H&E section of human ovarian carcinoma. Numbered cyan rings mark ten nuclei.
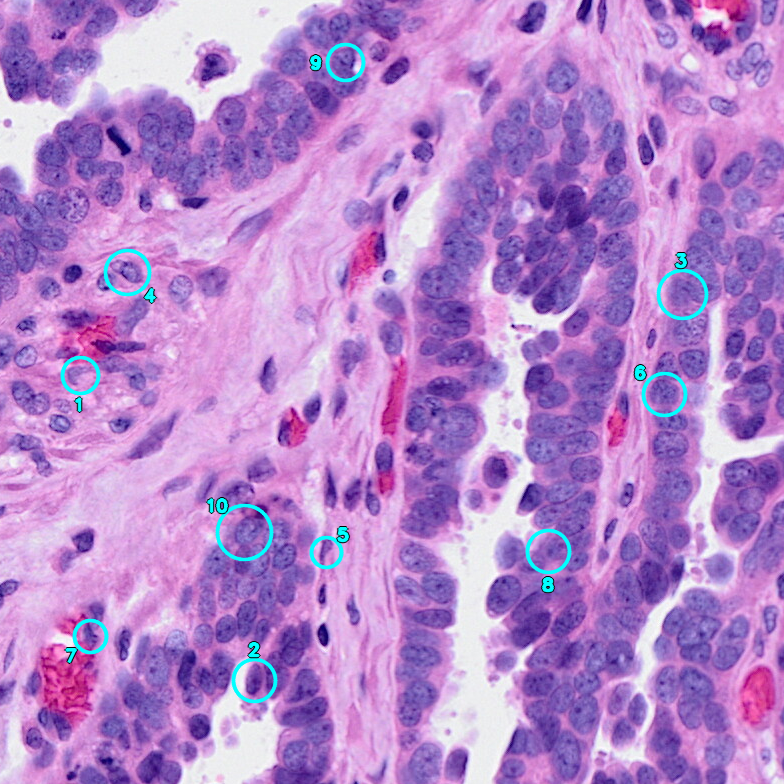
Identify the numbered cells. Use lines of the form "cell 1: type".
cell 1: endothelial cell
cell 2: carcinoma cell
cell 3: carcinoma cell
cell 4: fibroblast
cell 5: fibroblast
cell 6: carcinoma cell
cell 7: endothelial cell
cell 8: carcinoma cell
cell 9: carcinoma cell
cell 10: carcinoma cell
